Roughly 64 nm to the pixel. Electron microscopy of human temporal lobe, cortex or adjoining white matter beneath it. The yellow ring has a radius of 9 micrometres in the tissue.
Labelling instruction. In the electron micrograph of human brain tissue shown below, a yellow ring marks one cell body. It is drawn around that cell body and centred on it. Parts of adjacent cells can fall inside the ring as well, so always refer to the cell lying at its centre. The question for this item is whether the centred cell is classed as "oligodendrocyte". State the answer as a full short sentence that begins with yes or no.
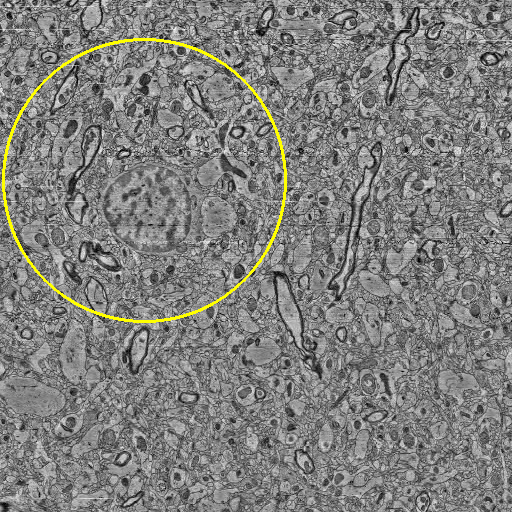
Yes, the centred cell is of that class.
